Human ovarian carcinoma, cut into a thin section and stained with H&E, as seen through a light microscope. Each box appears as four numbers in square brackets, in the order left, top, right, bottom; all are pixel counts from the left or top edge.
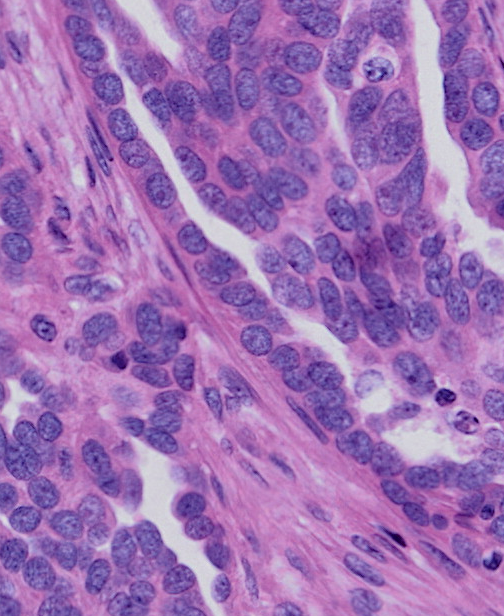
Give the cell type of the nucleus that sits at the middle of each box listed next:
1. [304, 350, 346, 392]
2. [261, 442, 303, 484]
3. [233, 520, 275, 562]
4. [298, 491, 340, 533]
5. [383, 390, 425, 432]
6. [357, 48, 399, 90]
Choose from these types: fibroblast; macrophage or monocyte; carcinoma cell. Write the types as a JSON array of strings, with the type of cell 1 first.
["carcinoma cell", "fibroblast", "fibroblast", "fibroblast", "macrophage or monocyte", "macrophage or monocyte"]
